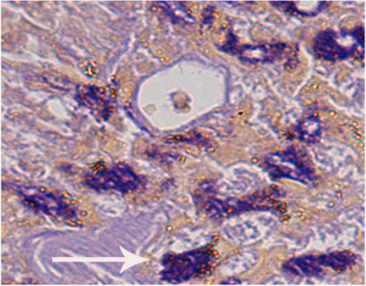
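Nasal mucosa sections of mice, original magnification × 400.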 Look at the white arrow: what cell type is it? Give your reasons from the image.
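The arrow points to a cell with dense dark purple granular cytoplasm. Several such dark purple granulated cells lie scattered in the tissue. So: mast cells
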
